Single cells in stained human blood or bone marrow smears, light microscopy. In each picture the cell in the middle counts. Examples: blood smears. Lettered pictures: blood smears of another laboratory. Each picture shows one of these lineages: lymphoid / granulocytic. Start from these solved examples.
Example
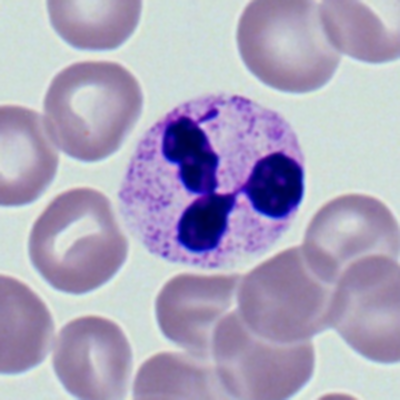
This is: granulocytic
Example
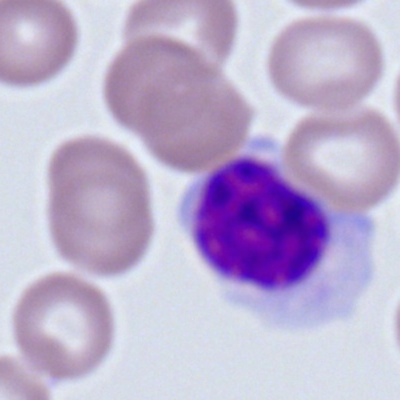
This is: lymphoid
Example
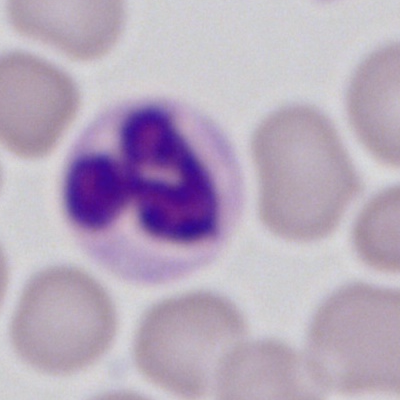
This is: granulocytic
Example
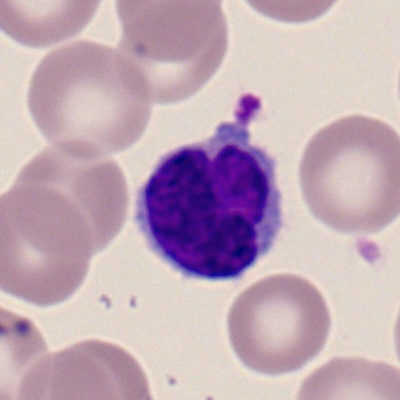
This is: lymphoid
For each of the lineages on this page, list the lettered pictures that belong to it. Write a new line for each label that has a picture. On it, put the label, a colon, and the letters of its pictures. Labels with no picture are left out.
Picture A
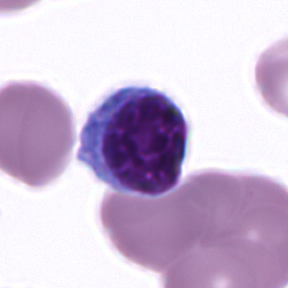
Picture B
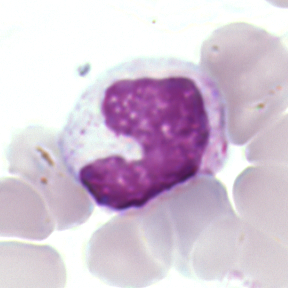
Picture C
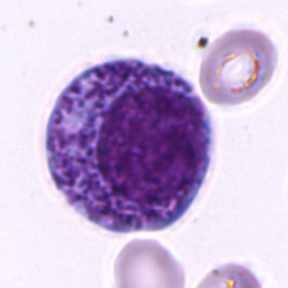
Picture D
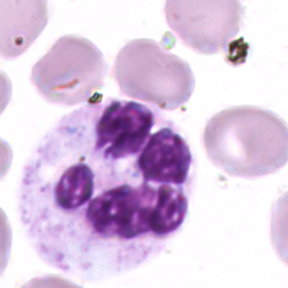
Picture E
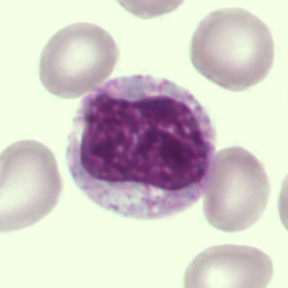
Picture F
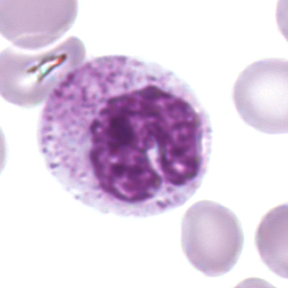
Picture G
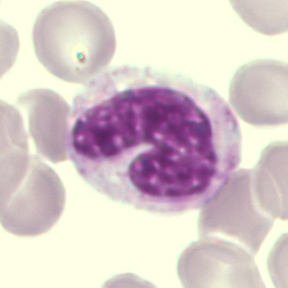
lymphoid: A
granulocytic: B, C, D, E, F, G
